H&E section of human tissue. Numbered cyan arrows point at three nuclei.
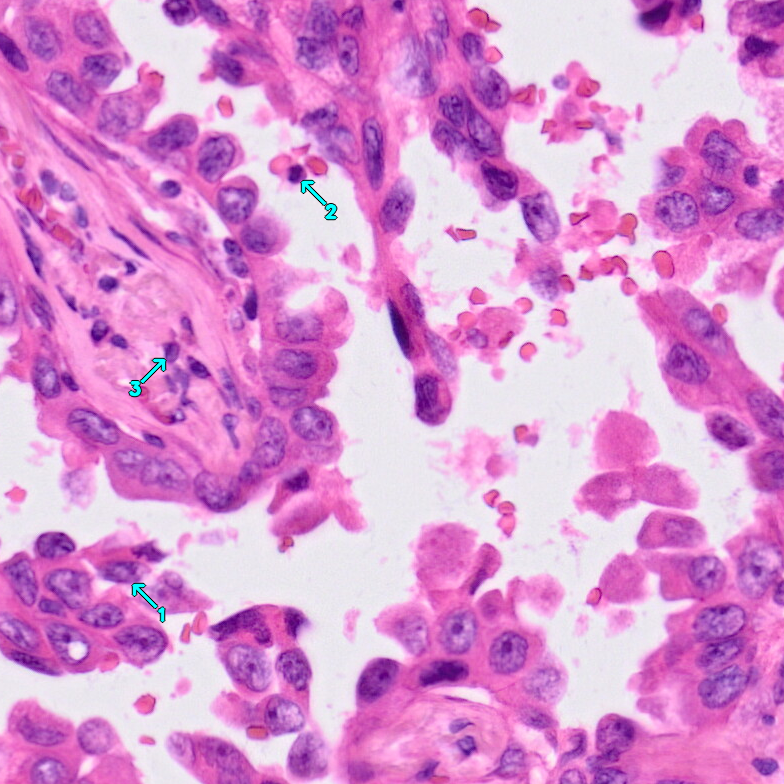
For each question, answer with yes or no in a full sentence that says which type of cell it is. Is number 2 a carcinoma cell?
No, calling cell 2 a carcinoma cell is incorrect; it is a lymphocyte.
